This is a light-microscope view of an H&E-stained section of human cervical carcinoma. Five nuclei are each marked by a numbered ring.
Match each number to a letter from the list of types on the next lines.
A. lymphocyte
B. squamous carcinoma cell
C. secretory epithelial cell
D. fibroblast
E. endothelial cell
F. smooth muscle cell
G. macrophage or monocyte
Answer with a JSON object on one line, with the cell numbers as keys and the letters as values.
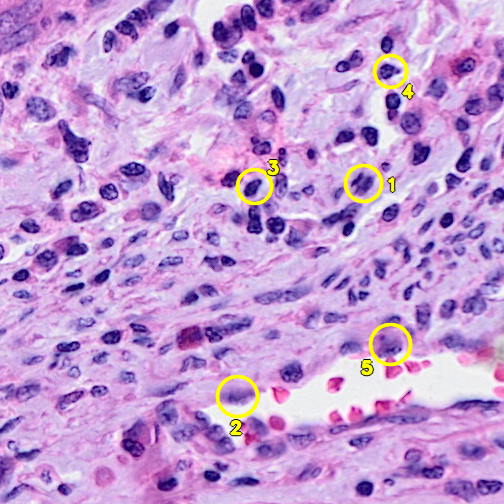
{"1": "A", "2": "E", "3": "A", "4": "A", "5": "E"}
